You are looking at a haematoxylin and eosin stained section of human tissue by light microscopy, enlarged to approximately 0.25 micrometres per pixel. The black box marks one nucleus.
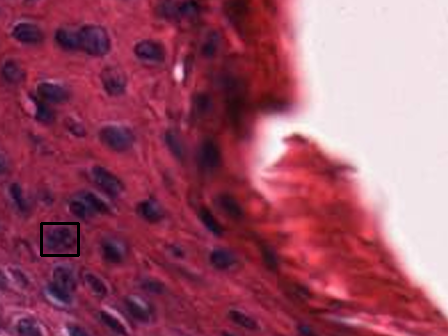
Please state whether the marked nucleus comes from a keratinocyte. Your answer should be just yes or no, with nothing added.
yes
